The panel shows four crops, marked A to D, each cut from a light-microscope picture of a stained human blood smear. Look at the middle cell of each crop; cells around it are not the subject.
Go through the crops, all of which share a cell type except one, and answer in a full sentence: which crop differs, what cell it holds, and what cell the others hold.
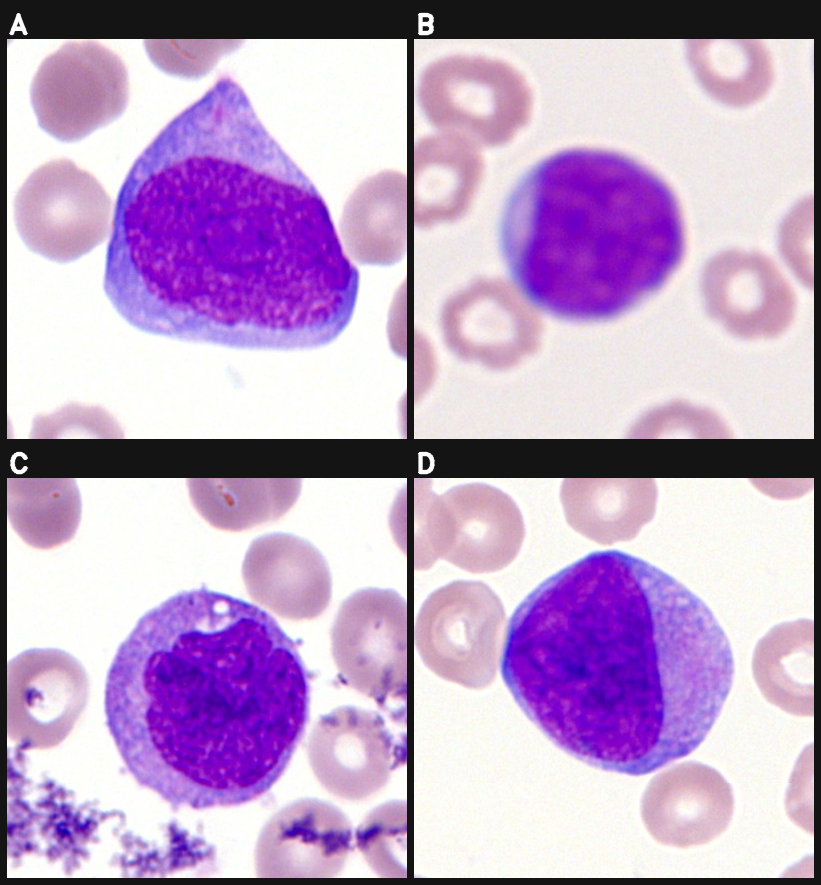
What sets crop C apart is that it is a monocyte; the others are all myeloblasts.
